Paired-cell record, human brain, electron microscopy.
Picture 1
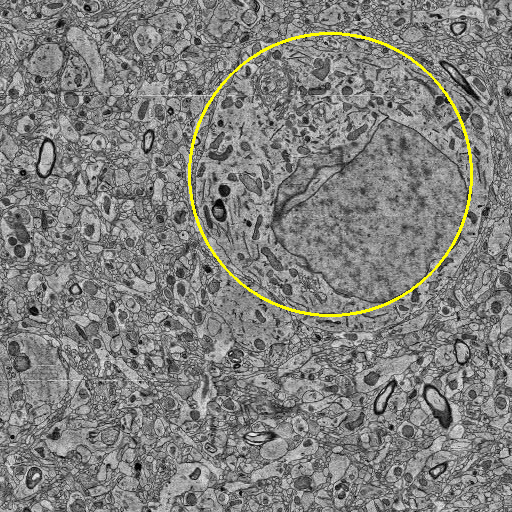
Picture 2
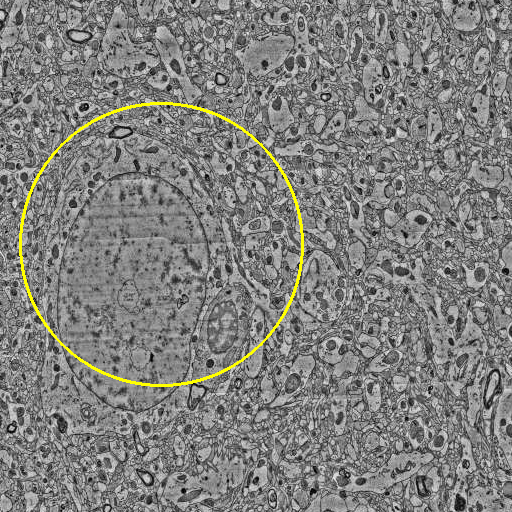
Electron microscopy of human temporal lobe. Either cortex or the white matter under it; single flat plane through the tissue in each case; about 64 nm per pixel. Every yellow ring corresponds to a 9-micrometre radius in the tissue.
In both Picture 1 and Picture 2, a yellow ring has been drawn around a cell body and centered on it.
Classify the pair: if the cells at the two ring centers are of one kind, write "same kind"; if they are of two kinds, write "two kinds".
two kinds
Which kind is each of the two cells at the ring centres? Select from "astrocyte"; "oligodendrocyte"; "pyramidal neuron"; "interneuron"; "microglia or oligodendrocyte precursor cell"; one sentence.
The cell at the centre of the ring is an interneuron in the first picture and a pyramidal neuron in the second.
